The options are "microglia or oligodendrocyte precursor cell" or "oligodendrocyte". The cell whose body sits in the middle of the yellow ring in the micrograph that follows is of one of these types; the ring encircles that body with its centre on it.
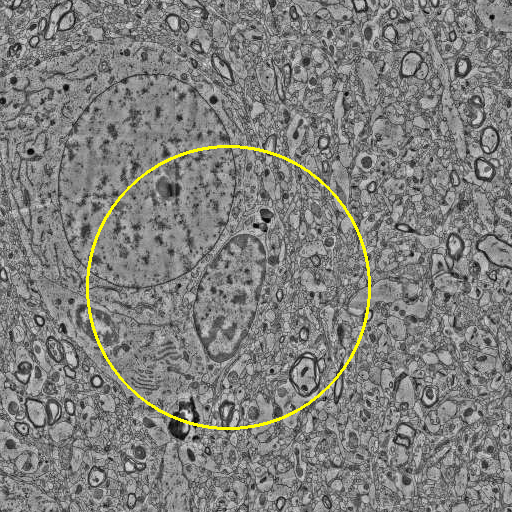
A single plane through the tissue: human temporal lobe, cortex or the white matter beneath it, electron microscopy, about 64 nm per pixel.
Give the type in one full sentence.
Going by the micrograph, the cell centred in the yellow ring is a microglial cell or oligodendrocyte precursor cell.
